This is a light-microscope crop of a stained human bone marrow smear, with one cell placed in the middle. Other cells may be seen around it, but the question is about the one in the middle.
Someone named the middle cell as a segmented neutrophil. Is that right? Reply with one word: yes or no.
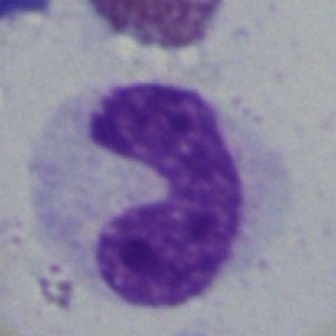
no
